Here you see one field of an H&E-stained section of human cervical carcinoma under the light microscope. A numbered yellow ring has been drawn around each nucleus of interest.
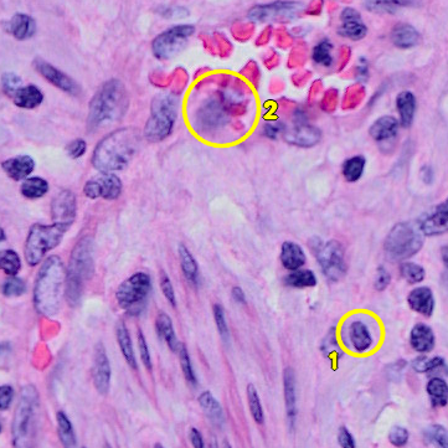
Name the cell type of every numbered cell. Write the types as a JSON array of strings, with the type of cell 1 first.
["lymphocyte", "endothelial cell"]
